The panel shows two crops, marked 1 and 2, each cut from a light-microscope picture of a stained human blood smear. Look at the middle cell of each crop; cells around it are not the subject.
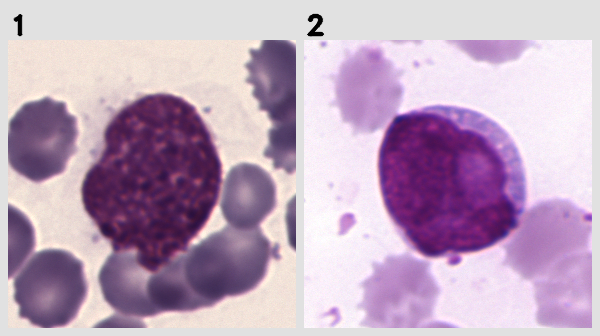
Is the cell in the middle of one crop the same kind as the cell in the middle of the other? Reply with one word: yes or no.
no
